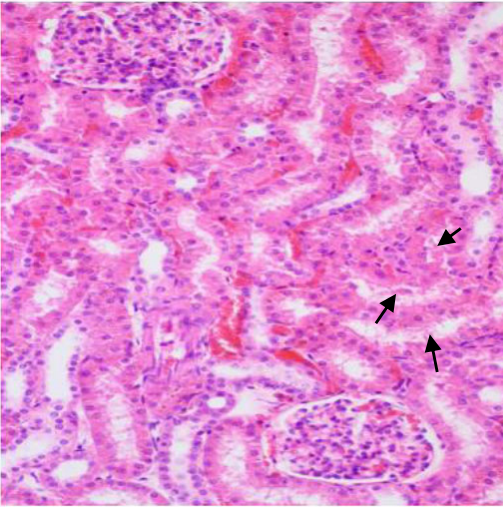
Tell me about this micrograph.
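This is kidney cortex, with two glomeruli, one at the top left and one at the bottom, each a rounded tuft of capillaries crowded with purple nuclei inside a thin capsule and a narrow clear space. Between them lie many tubules, mostly cut lengthwise, lined by pink epithelial cells with round purple nuclei and pale, sometimes clear, lumens. In the narrow interstitium between the tubules run bright red streaks and patches of packed red blood cells, far more than one expects, showing that the small vessels of the tubulointerstitium are distended with blood, which is congestion.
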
